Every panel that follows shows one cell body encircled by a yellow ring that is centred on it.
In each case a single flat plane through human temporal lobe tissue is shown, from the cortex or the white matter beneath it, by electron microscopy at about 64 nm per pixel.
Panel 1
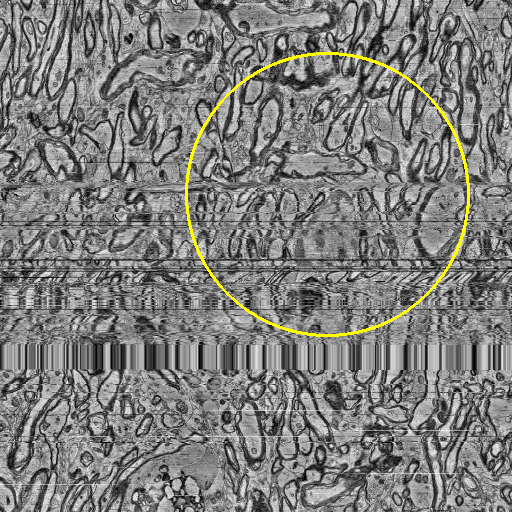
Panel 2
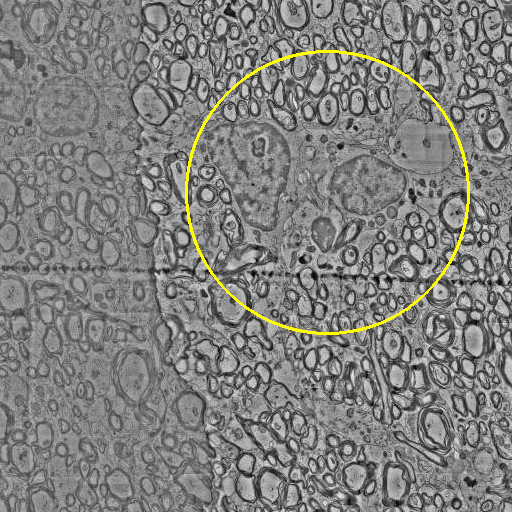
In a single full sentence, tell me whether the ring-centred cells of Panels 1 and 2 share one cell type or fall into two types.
In Panel 1 and Panel 2, the cells at the ring centres share one cell type.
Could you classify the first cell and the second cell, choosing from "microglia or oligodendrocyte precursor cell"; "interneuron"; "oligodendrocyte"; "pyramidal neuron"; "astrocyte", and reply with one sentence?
Each of the two cells is a microglial cell or oligodendrocyte precursor cell.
